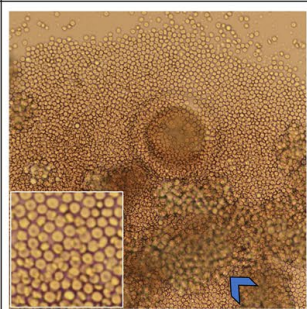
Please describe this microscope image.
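A large round oocyte lies at the centre, encircled by a clear rim and a halo of small cells. Around it, a wide sheet of small, uniform, round cumulus cells spreads across the field. The cells lie separately, each with its own distinct outline, as the inset shows at higher magnification. Toward the lower part of the field the cells are more crowded but still individually visible.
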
